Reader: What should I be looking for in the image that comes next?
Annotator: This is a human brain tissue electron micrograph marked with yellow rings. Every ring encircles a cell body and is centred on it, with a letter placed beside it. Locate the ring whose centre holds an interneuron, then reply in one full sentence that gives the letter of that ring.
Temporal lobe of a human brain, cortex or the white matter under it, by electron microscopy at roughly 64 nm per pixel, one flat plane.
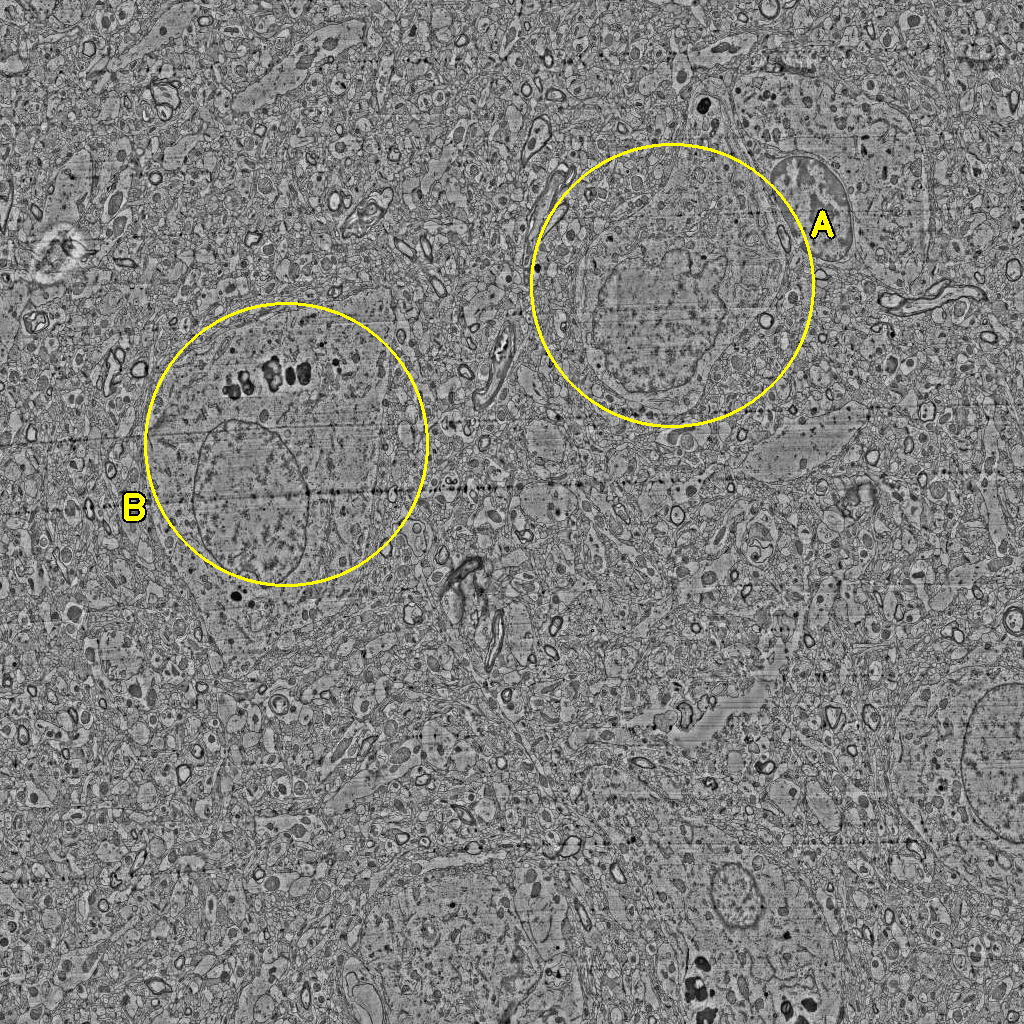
The ring centred on the cell asked for is the one labelled A.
